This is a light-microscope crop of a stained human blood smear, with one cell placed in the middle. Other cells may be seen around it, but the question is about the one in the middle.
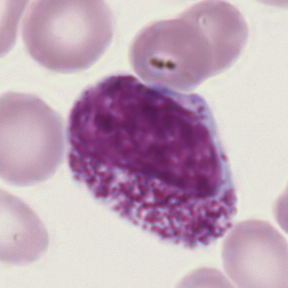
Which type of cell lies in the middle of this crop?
myelocyte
